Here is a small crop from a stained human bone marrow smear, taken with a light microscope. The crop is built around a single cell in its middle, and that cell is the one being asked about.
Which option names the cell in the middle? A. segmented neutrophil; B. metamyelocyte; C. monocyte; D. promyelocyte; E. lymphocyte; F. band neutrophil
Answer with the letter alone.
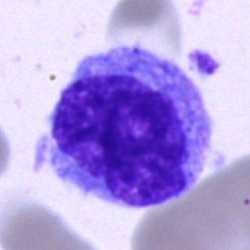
C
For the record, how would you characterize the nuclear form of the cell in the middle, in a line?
A single compact nucleus is present, shaped round, oval or like a kidney.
